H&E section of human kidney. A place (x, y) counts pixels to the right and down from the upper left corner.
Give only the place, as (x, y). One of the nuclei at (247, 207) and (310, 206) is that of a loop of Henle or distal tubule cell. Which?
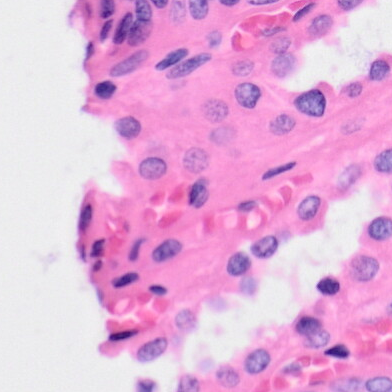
(310, 206)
